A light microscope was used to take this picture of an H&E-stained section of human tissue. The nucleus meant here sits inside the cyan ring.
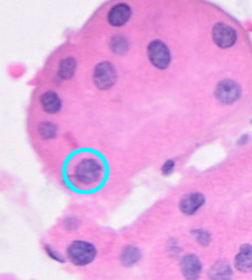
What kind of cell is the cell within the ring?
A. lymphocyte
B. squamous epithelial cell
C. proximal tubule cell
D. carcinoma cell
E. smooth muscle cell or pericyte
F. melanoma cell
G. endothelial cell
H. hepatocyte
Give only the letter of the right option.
C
